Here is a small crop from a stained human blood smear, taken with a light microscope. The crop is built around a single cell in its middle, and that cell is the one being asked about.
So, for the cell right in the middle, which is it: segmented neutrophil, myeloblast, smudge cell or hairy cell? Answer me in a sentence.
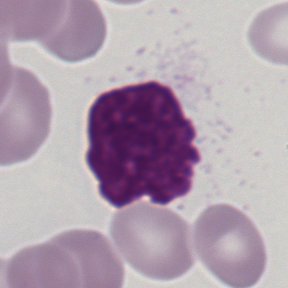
In the crop, the cell of interest at the centre is a smudge cell.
